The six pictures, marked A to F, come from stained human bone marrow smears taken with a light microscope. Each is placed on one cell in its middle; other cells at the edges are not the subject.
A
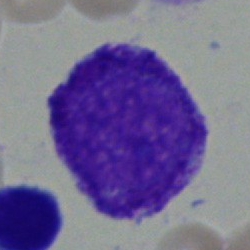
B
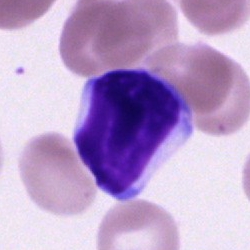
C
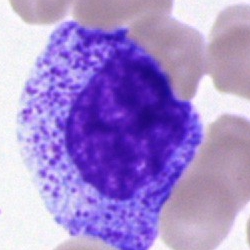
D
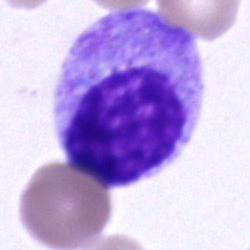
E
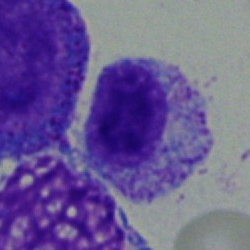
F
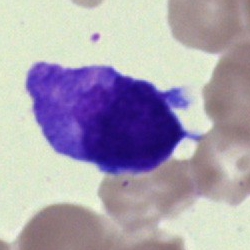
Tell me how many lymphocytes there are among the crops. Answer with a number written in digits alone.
1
